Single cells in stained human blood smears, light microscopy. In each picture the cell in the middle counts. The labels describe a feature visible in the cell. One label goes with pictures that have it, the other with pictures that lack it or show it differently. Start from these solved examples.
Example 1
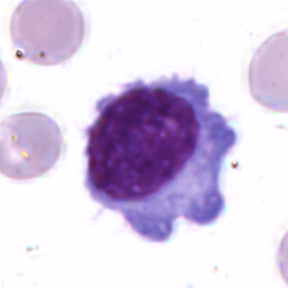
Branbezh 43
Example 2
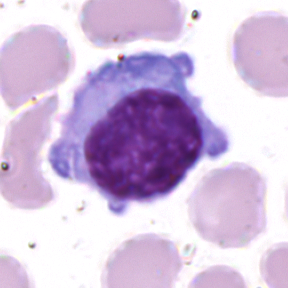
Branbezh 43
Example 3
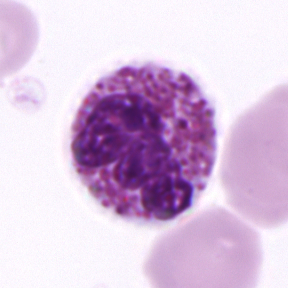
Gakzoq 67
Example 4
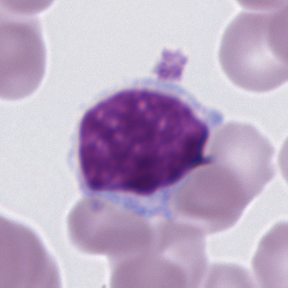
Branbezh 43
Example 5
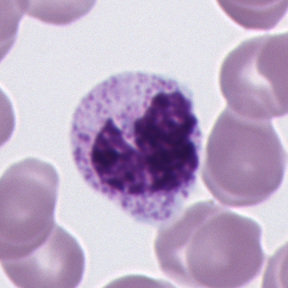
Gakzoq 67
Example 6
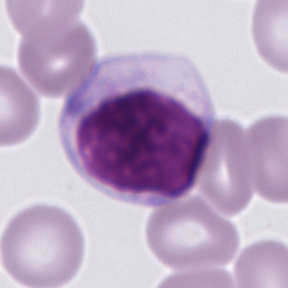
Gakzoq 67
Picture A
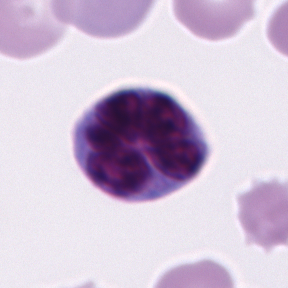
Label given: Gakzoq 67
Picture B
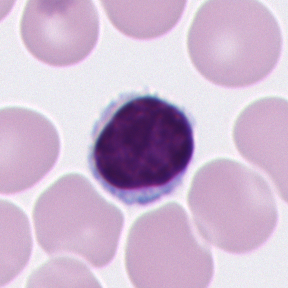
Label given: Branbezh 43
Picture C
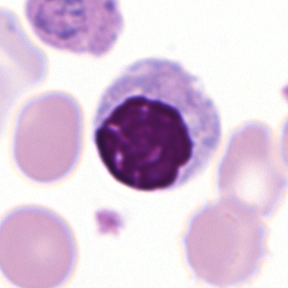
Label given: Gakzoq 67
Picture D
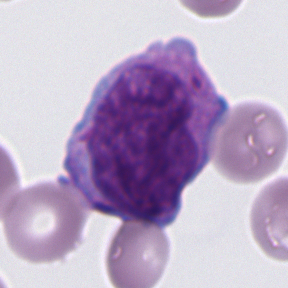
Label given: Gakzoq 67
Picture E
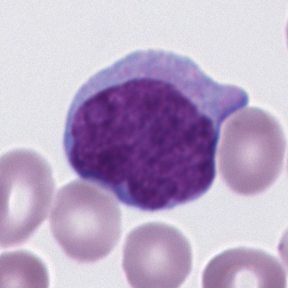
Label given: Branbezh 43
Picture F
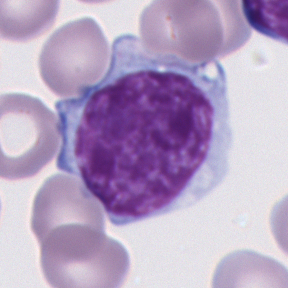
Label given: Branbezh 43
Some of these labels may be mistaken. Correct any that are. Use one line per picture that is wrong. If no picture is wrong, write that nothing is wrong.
D: not Gakzoq 67 but Branbezh 43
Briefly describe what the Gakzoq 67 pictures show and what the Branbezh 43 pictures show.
Gakzoq 67: smooth outline; Branbezh 43: ragged outline or projections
